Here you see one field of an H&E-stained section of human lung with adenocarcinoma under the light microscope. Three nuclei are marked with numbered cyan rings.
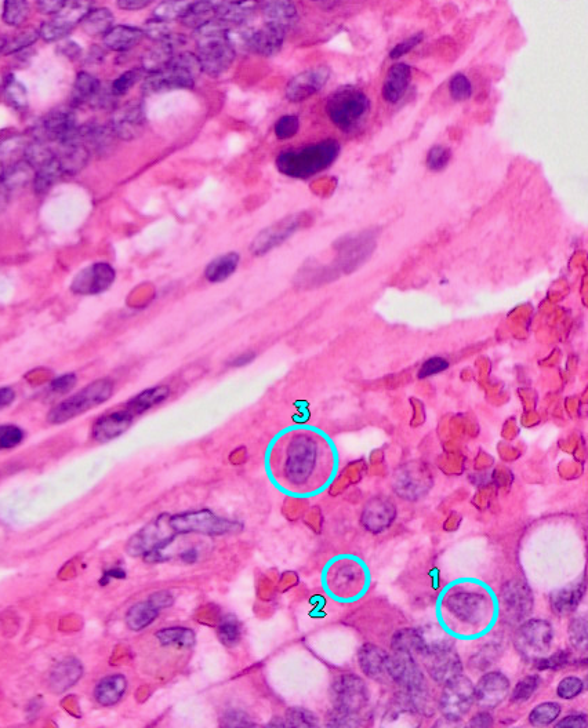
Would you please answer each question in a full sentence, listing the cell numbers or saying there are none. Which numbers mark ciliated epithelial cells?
Of the numbered nuclei, only the one labelled 1 belongs to a ciliated epithelial cell.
